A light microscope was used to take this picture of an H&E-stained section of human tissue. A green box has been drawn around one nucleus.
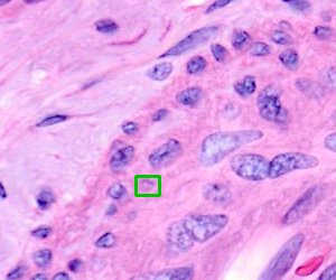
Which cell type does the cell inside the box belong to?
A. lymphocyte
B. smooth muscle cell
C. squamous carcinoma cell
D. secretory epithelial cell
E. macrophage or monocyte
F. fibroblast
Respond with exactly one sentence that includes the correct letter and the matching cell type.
As stated in option B, the cell inside the box is a smooth muscle cell.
